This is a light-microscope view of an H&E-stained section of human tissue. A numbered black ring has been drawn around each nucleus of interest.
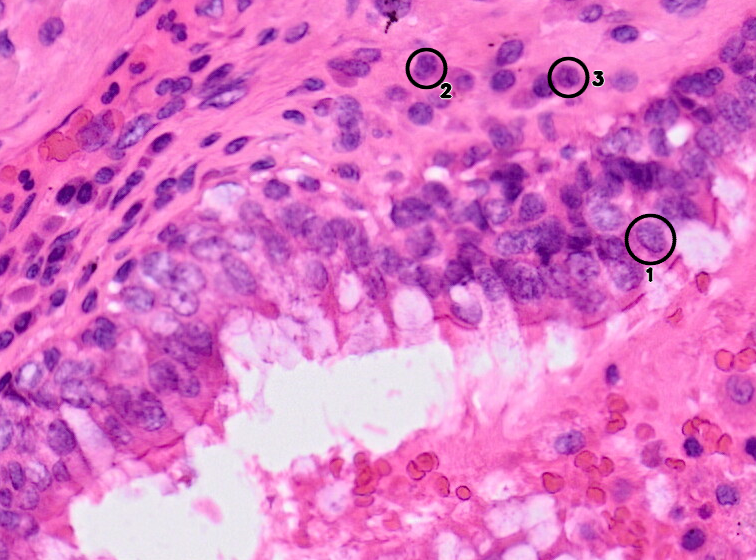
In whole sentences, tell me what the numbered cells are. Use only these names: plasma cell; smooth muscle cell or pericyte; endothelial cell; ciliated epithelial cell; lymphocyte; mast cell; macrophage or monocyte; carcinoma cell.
Cell 1 is a ciliated epithelial cell, cell 2 is a plasma cell and cell 3 is a plasma cell.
